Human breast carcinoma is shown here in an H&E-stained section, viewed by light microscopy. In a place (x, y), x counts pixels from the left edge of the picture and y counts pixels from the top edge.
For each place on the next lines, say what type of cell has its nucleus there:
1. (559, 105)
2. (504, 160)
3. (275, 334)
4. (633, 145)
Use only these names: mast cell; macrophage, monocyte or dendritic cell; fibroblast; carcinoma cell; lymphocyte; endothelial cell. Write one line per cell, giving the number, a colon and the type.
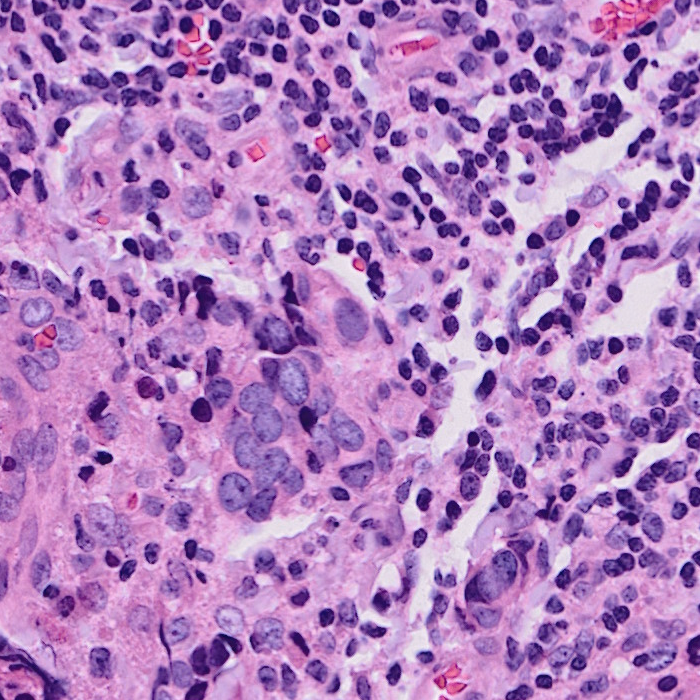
1: lymphocyte
2: lymphocyte
3: carcinoma cell
4: lymphocyte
